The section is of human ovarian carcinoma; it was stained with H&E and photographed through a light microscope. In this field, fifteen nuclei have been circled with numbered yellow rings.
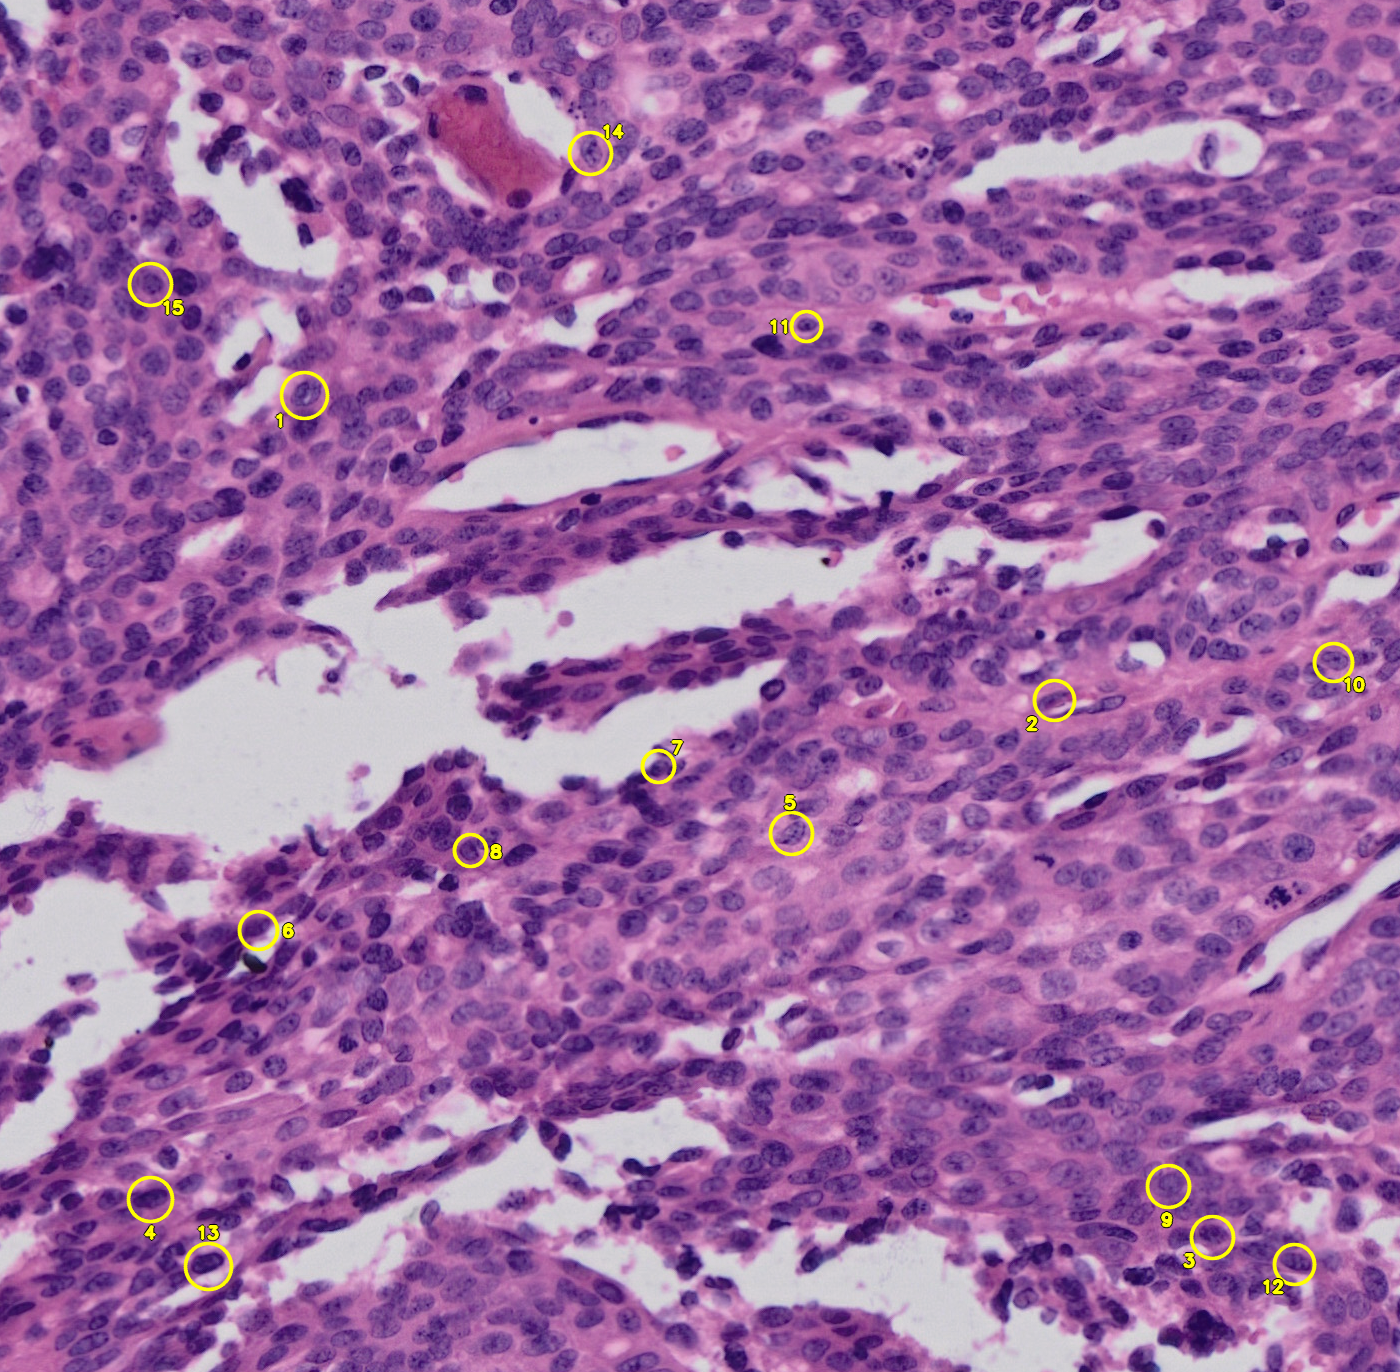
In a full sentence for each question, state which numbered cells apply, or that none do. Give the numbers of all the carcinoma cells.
The cells shown with numbers 3, 4, 6, 8, 9, 12, 13 and 15 are carcinoma cells.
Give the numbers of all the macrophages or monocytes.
When it comes to cells 1, 5, 7, 10, 11 and 14, they are macrophages or monocytes.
